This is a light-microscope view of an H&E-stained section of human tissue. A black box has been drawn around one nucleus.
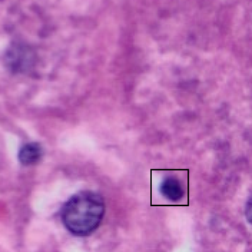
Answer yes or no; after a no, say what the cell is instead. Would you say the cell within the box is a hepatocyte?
No, it is a lymphocyte.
